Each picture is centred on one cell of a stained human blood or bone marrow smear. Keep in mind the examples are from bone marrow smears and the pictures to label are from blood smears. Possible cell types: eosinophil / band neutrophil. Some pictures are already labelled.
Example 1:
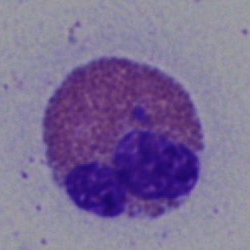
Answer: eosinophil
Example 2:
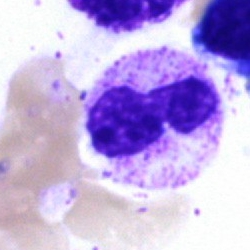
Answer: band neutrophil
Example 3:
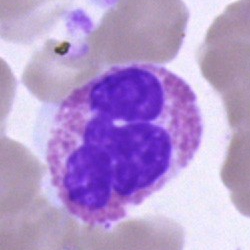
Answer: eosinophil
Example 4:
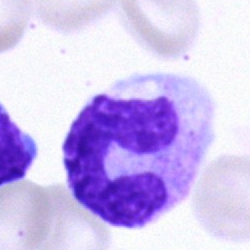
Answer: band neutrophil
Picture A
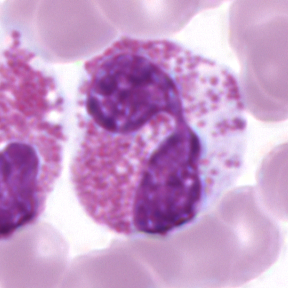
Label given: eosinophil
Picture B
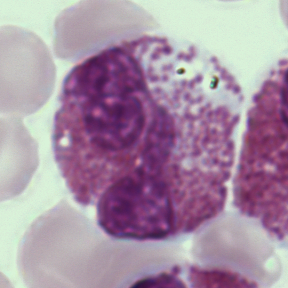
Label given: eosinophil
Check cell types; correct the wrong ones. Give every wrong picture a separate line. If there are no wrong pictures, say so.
Nothing to fix; every label fits.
